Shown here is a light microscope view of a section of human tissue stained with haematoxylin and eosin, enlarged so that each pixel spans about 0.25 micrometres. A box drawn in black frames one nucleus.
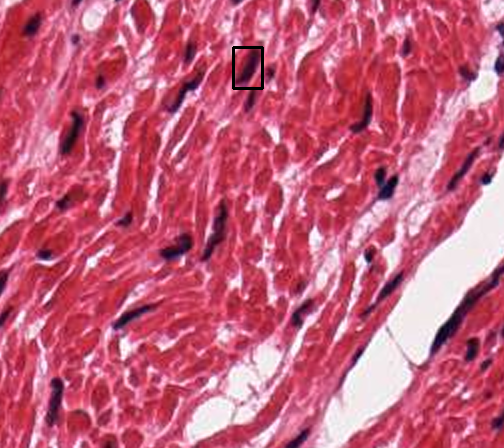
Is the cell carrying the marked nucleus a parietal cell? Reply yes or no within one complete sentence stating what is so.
No, the marked nucleus is not housed in a parietal cell.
